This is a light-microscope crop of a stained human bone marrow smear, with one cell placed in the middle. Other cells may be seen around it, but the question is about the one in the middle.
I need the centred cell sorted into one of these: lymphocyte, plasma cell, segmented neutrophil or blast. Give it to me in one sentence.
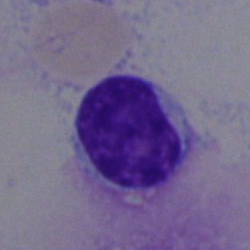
The crop's centre is taken up by a lymphocyte.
